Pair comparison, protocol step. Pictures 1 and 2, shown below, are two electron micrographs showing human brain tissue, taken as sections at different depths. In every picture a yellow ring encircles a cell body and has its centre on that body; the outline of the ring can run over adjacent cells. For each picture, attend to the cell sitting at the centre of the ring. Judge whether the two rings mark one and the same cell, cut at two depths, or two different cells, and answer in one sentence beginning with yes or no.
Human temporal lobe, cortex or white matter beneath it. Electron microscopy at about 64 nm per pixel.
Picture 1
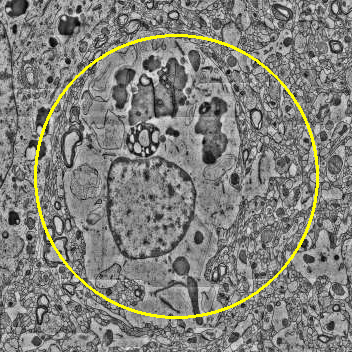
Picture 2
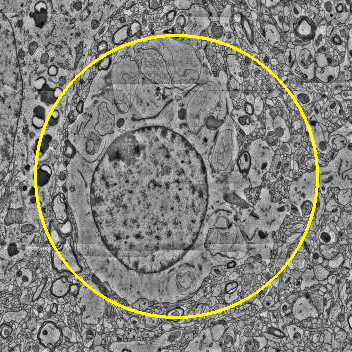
Yes, each ring singles out the same cell.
